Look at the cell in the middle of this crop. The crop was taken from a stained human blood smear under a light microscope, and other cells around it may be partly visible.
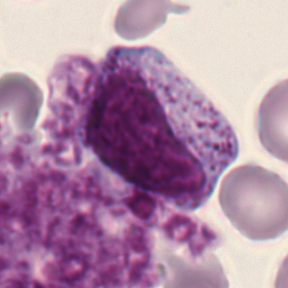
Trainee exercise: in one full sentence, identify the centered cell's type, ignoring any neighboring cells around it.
The central cell in this smear crop is a metamyelocyte.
